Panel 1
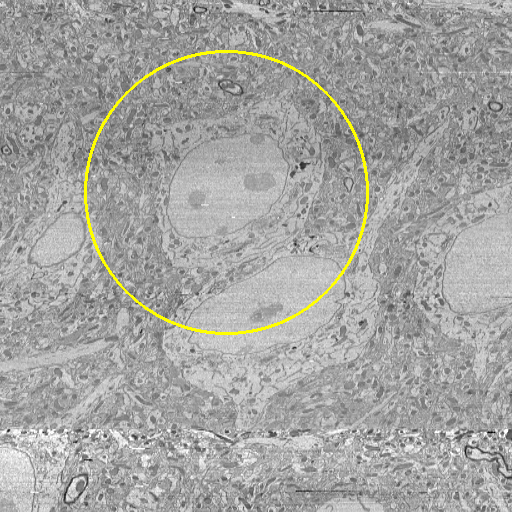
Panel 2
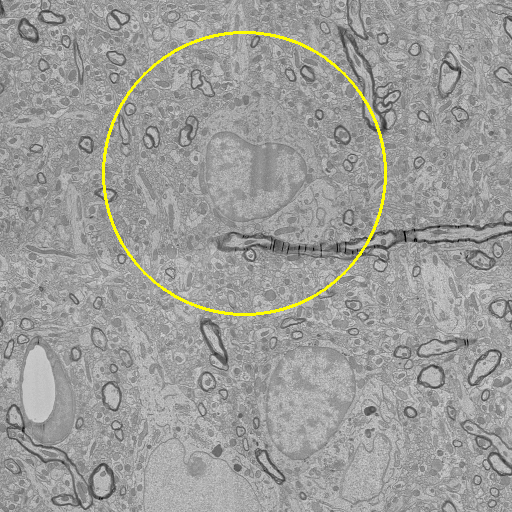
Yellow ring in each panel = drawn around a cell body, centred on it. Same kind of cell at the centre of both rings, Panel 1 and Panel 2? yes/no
no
